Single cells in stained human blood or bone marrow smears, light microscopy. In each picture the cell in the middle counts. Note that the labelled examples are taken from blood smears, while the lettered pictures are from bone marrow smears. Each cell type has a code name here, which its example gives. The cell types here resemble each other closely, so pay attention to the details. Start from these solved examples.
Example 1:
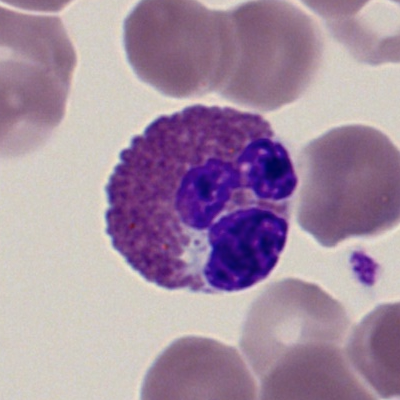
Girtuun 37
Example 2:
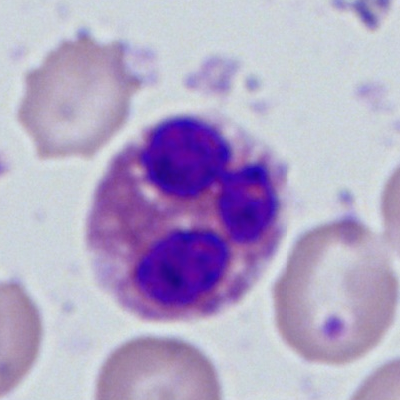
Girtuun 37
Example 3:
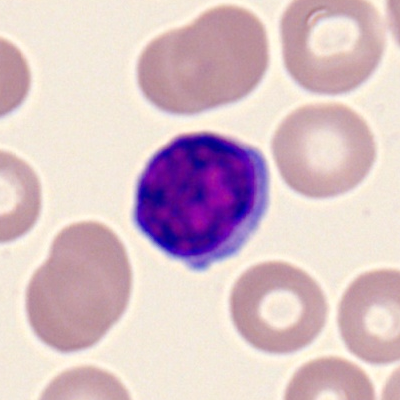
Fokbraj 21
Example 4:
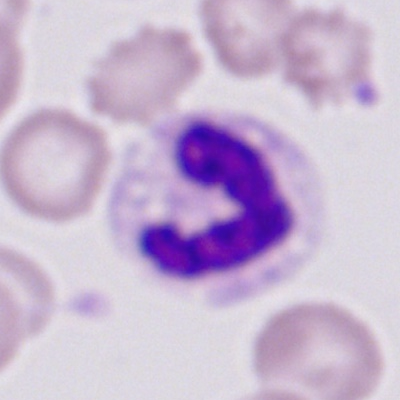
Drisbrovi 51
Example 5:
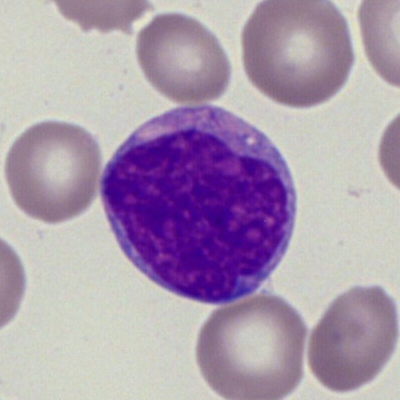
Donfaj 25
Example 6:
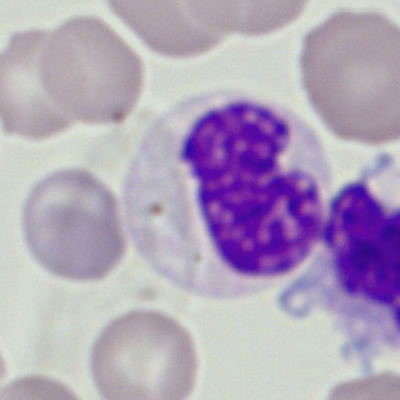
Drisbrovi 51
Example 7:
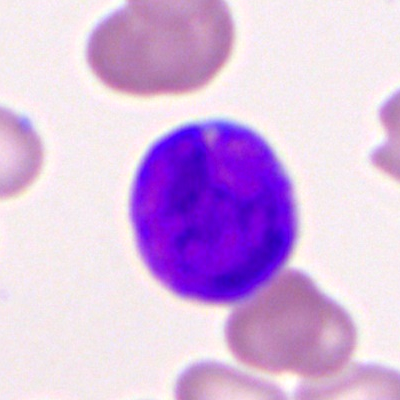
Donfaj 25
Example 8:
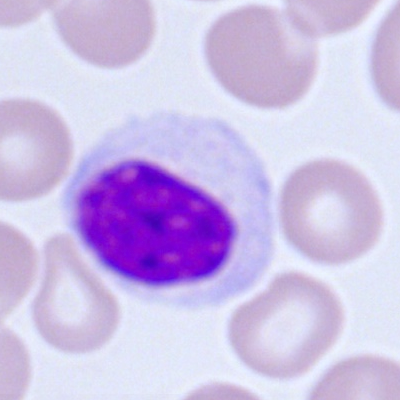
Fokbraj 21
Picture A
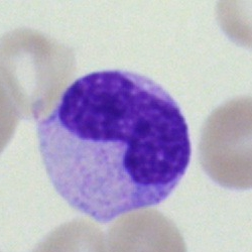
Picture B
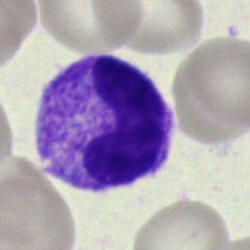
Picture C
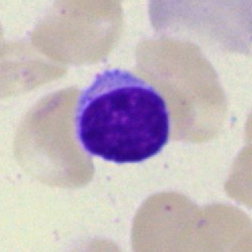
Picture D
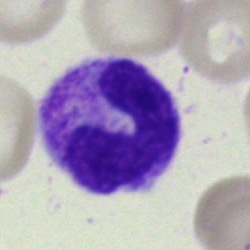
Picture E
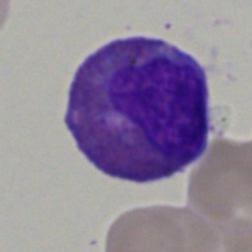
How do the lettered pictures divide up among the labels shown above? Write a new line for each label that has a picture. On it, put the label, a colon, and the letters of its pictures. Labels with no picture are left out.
Girtuun 37: E
Fokbraj 21: C
Drisbrovi 51: A, B, D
